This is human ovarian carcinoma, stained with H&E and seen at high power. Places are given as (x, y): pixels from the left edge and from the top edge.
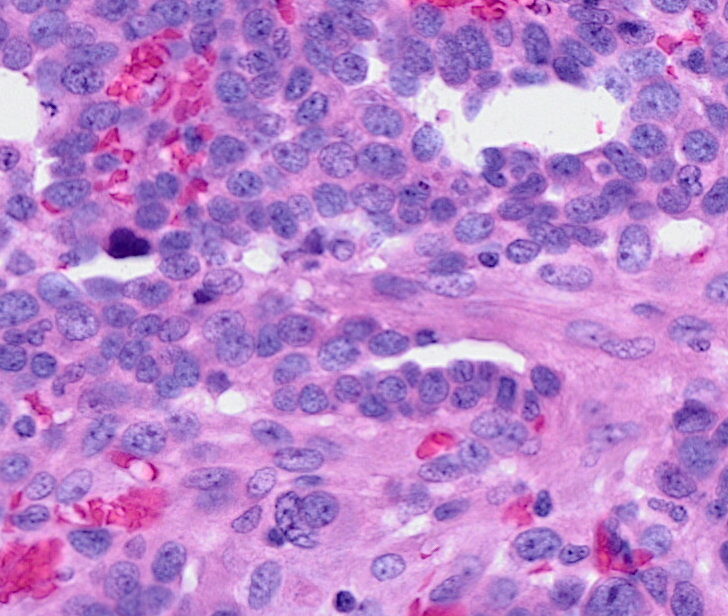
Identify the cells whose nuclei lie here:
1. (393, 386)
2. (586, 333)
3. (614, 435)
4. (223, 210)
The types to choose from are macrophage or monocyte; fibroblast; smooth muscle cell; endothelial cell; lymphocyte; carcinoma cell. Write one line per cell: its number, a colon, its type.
1: carcinoma cell
2: fibroblast
3: fibroblast
4: carcinoma cell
